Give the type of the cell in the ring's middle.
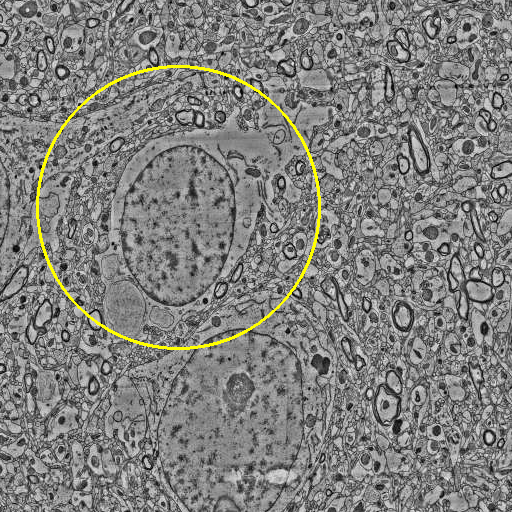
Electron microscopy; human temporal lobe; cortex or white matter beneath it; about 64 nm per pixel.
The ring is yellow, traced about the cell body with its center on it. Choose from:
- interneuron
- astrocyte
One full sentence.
Here, an astrocyte is the cell lying at the center of the yellow ring.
